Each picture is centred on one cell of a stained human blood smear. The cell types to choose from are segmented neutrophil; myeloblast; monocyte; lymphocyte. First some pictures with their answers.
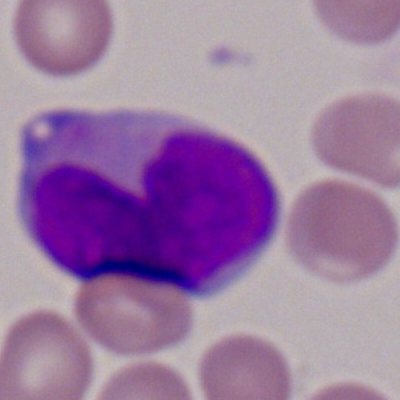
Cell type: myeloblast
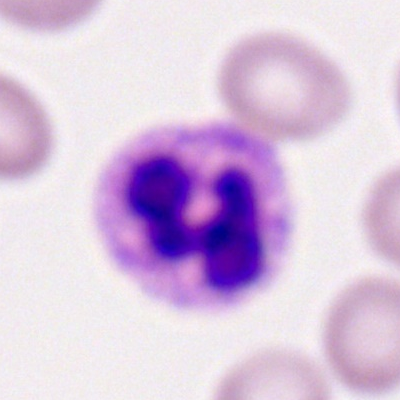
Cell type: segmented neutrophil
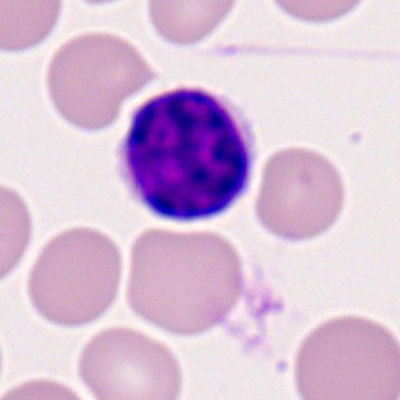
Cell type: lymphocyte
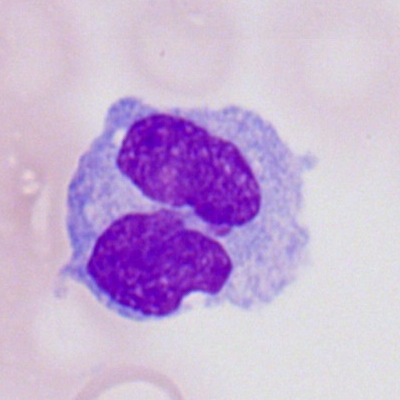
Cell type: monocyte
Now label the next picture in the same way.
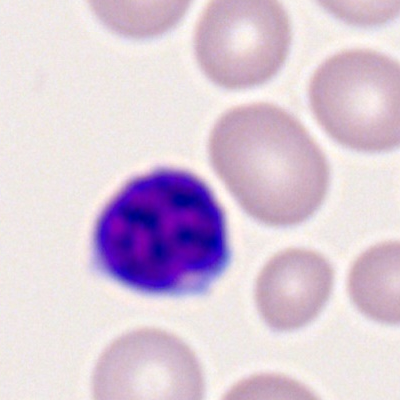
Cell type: lymphocyte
